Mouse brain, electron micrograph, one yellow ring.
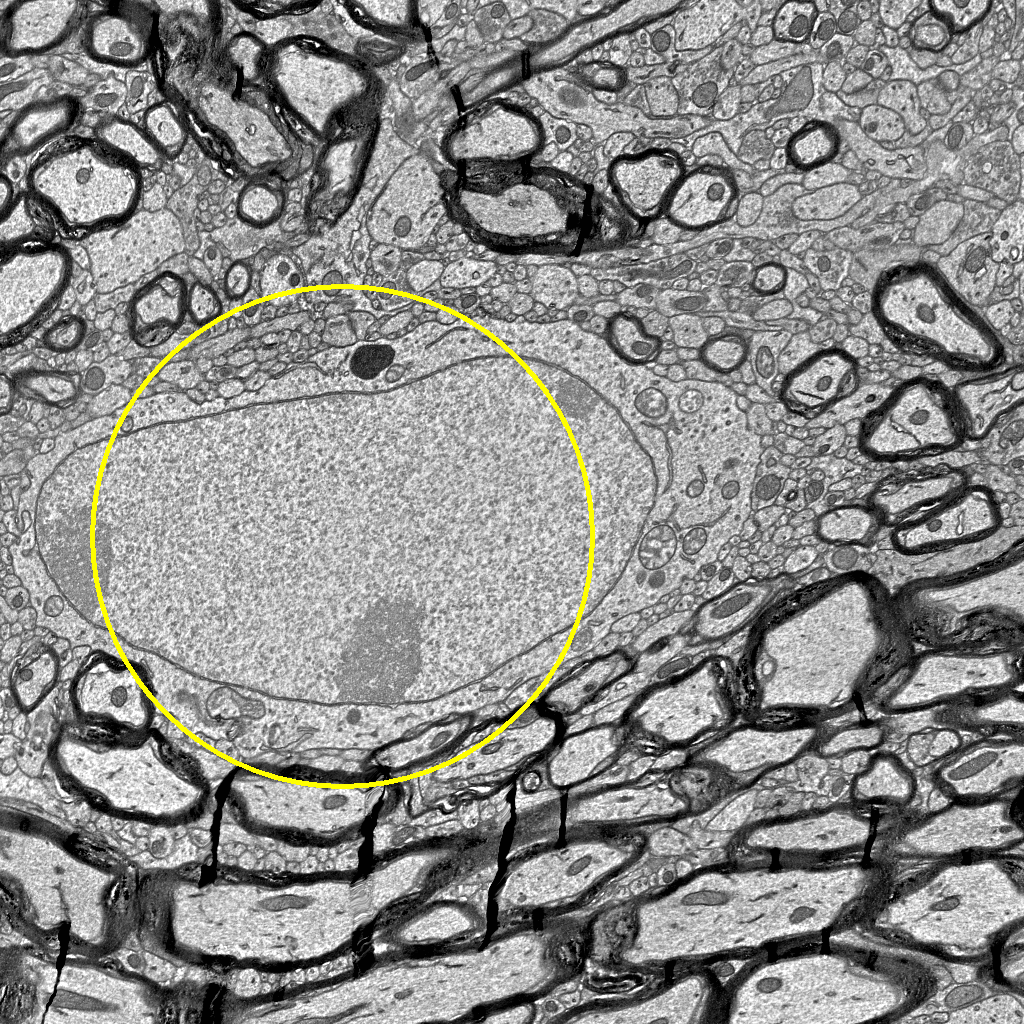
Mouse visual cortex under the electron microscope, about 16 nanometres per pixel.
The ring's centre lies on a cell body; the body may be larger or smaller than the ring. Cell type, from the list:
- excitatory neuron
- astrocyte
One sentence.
The yellow ring's centre lies on an excitatory neuron.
